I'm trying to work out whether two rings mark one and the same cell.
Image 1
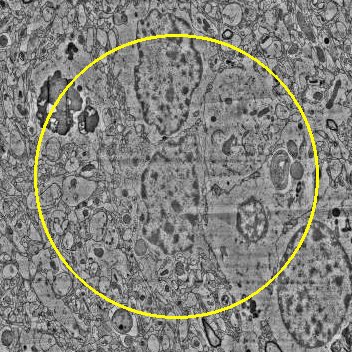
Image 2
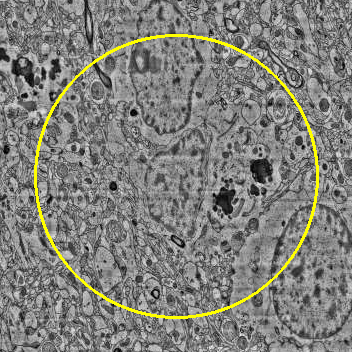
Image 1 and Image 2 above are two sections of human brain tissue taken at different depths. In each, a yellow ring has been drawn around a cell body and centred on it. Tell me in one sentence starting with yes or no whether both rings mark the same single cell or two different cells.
Yes, one cell accounts for both of the yellow rings.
